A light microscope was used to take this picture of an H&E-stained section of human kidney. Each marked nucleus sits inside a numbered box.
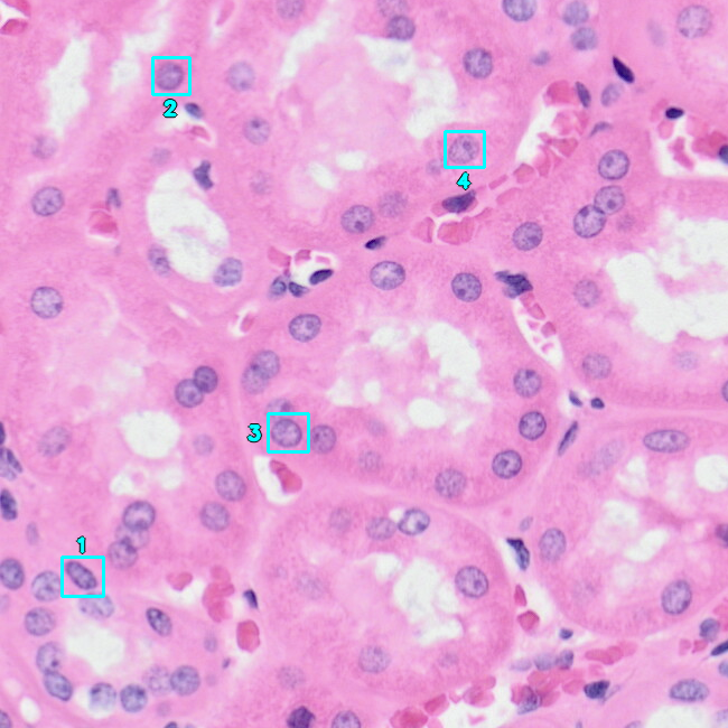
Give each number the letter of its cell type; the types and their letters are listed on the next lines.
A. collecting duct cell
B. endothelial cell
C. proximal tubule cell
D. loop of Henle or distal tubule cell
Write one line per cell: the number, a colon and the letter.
1: A
2: C
3: C
4: C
